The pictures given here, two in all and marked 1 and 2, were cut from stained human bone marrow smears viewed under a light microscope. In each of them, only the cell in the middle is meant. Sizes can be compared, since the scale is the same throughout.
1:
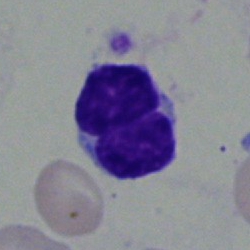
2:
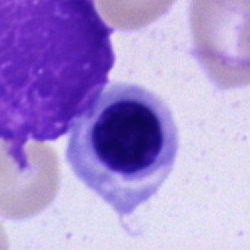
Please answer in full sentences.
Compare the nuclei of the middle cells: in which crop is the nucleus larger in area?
The nucleus in crop 1 is larger, with about 2 times the area of the one in crop 2.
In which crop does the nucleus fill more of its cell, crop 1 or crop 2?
It is the cell in crop 1 that is filled more by its nucleus.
